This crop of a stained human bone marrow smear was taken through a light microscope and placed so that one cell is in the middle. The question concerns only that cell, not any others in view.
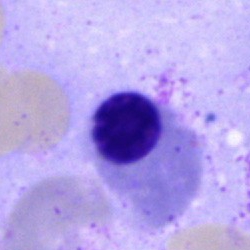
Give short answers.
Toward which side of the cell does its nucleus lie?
upper left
